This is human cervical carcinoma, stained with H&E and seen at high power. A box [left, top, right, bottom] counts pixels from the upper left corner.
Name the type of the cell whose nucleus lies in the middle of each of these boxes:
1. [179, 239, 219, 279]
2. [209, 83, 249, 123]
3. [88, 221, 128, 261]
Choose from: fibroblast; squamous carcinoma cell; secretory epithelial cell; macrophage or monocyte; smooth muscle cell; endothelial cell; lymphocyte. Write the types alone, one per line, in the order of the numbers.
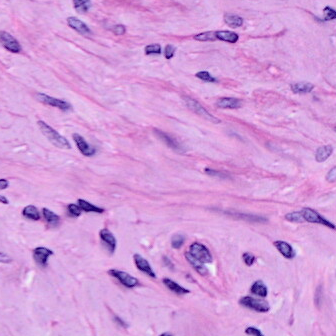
endothelial cell
smooth muscle cell
fibroblast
